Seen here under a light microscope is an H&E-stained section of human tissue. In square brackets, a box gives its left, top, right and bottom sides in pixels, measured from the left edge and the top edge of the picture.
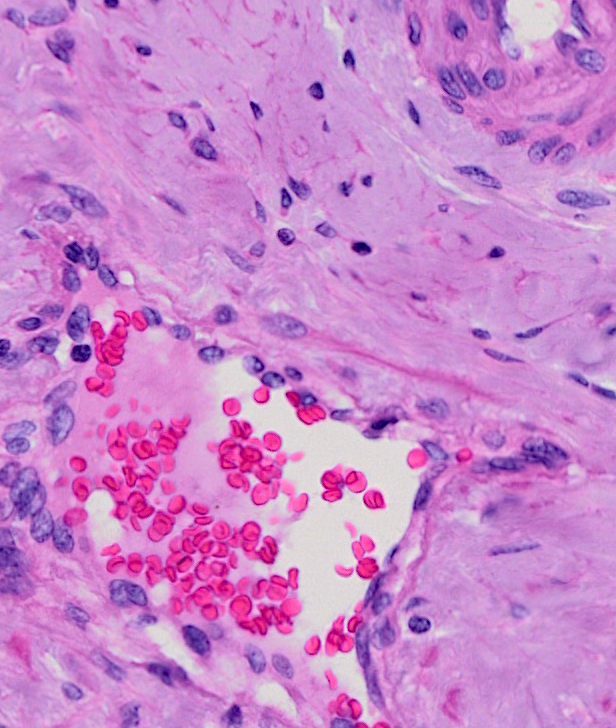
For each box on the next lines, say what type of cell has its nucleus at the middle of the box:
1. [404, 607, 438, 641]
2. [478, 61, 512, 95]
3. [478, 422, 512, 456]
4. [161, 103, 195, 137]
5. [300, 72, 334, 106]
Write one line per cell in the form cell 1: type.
cell 1: lymphocyte
cell 2: smooth muscle cell
cell 3: endothelial cell
cell 4: smooth muscle cell
cell 5: fibroblast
